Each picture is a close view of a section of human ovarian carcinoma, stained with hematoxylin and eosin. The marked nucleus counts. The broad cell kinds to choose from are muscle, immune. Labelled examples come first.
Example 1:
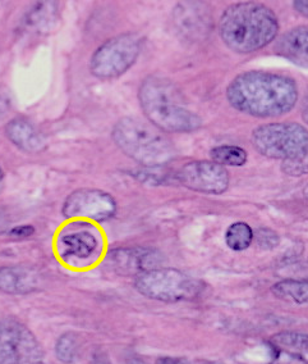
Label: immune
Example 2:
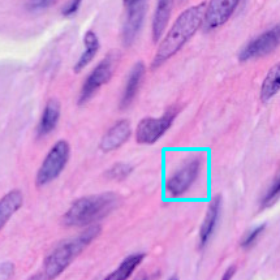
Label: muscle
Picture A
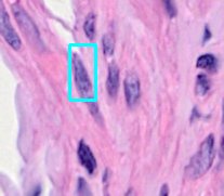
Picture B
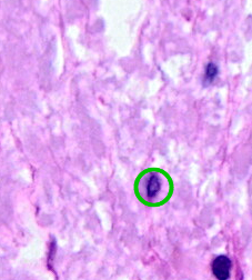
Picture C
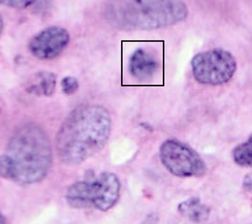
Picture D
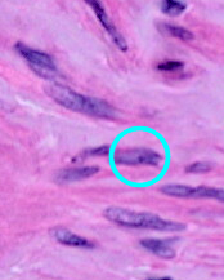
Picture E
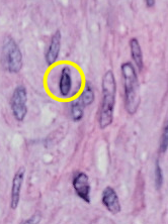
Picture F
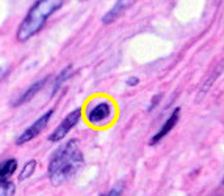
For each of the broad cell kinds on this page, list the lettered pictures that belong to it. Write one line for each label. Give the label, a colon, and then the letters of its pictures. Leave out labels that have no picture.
muscle: A, D
immune: B, C, E, F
